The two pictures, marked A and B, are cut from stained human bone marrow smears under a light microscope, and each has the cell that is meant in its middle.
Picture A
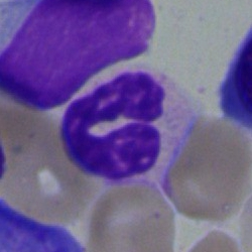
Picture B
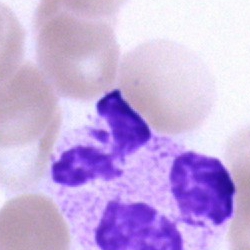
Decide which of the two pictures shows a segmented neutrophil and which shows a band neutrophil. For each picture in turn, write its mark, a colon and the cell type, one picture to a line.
A: band neutrophil
B: segmented neutrophil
